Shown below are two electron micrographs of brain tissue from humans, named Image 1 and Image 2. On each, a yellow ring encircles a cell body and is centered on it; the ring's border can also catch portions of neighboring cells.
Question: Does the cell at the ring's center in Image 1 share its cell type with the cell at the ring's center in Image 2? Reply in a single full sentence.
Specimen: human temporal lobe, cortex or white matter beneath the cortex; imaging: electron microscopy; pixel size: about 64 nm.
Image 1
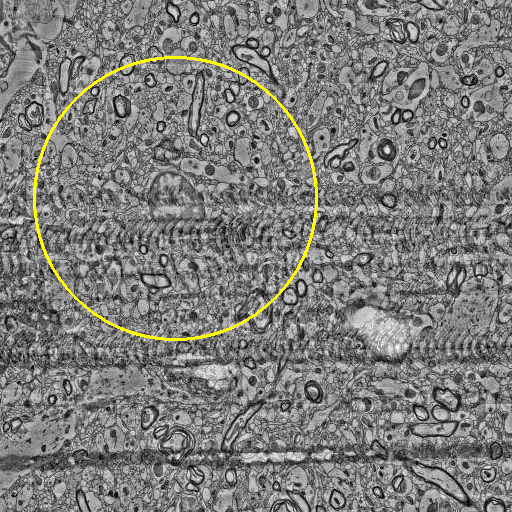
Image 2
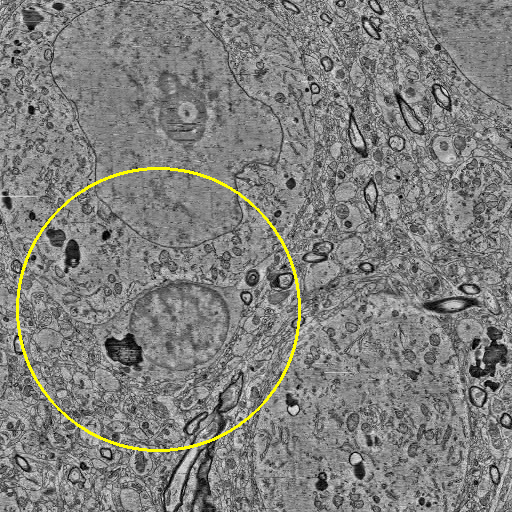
No, the two cells at the ring centers, in Image 1 and Image 2, are of two cell types.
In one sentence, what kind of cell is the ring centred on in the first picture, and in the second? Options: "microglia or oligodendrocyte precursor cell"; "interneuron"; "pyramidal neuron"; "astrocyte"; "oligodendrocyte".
The cell at the centre of the second ring is an oligodendrocyte; the first ring's cell is a microglial cell or oligodendrocyte precursor cell.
